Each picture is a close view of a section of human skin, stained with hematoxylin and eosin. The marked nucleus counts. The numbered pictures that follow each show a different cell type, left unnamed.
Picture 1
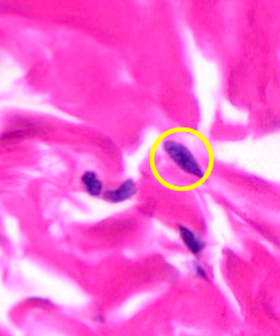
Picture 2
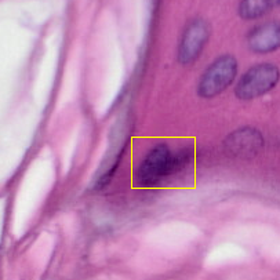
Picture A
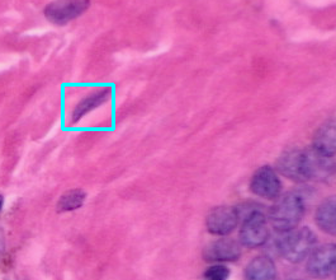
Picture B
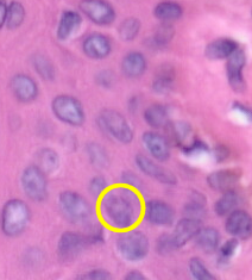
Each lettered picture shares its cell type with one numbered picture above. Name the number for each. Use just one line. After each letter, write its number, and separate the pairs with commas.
A 1, B 2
